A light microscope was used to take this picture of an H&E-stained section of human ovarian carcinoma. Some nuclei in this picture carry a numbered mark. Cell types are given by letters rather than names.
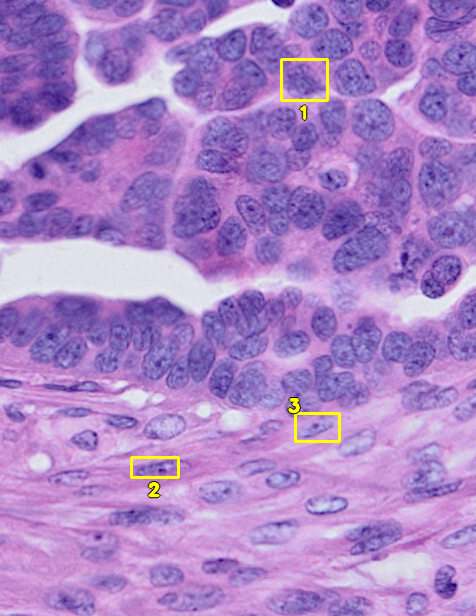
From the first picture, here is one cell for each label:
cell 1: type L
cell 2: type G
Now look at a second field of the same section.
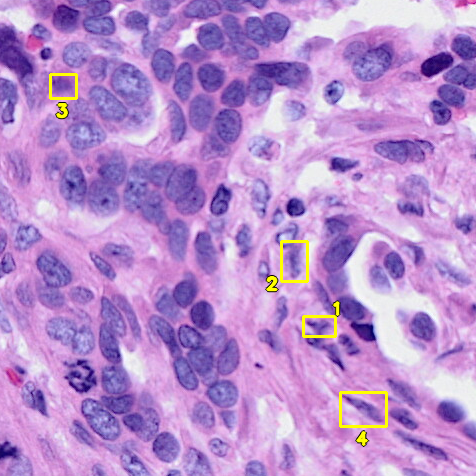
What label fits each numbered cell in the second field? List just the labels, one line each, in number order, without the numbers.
type G
type G
type L
type G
